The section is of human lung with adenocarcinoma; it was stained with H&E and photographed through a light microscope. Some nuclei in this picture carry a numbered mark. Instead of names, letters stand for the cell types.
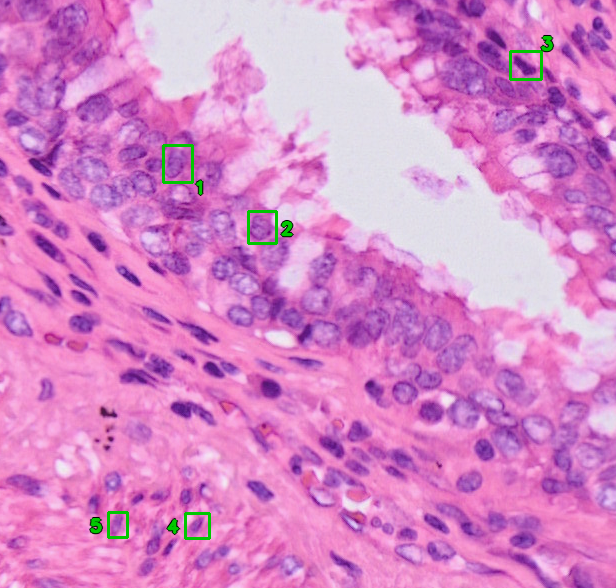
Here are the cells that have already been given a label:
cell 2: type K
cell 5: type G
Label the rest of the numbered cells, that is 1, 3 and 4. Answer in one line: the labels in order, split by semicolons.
type K; type K; type G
